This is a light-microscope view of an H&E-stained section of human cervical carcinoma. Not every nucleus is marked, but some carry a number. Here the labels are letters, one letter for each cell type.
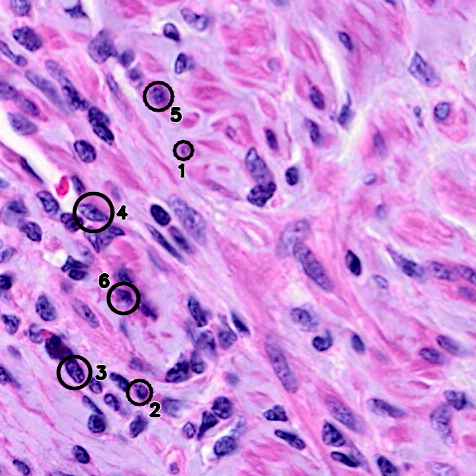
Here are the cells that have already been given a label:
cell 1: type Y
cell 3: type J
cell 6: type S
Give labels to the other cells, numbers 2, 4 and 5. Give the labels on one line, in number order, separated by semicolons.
type J; type S; type Y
